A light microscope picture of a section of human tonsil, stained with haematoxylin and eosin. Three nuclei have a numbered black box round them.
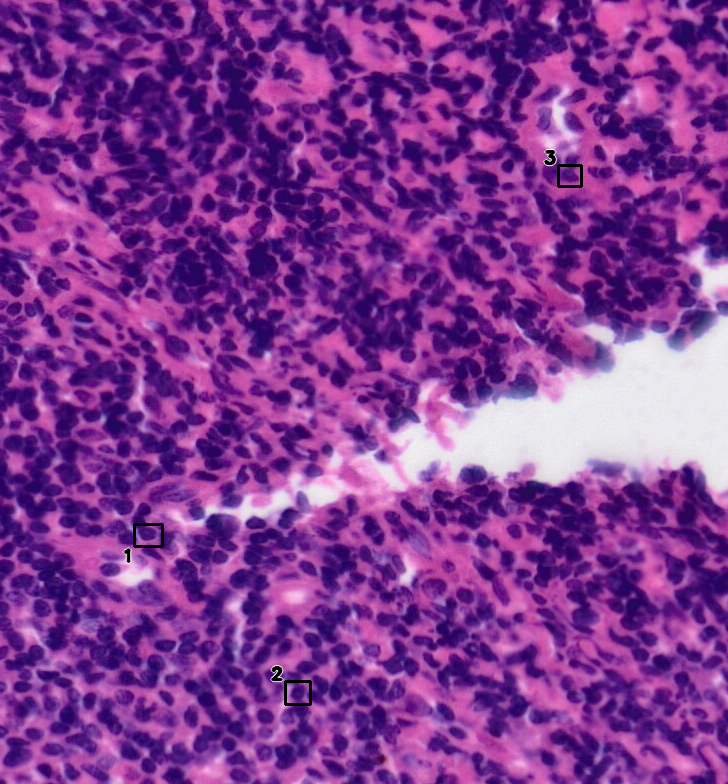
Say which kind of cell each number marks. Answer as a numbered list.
1. small lymphocyte
2. small lymphocyte
3. endothelial cell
